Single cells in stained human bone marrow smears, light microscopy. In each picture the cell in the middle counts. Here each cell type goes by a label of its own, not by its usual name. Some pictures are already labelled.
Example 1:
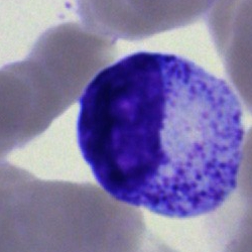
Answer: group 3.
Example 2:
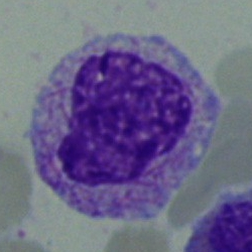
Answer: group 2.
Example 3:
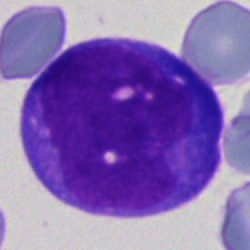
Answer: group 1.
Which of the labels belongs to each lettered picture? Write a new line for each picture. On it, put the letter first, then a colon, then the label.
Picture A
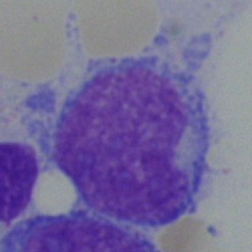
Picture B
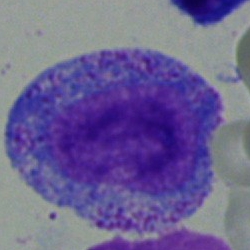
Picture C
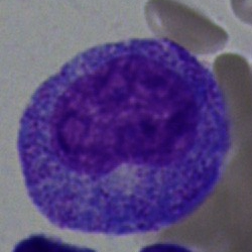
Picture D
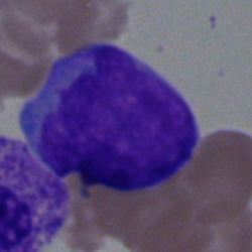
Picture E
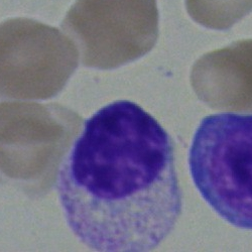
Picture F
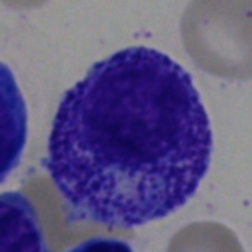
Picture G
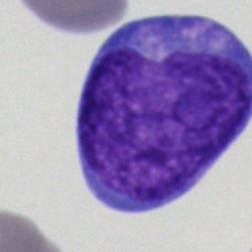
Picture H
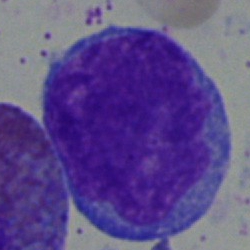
A: group 1.
B: group 3.
C: group 3.
D: group 1.
E: group 2.
F: group 2.
G: group 1.
H: group 1.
